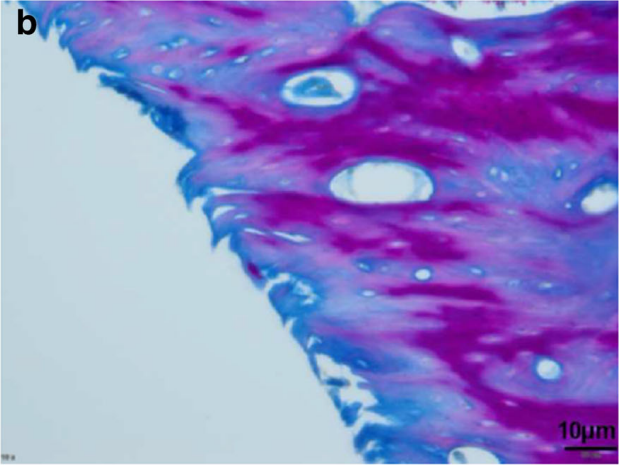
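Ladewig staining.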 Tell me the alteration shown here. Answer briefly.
splicing of the bone matrix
